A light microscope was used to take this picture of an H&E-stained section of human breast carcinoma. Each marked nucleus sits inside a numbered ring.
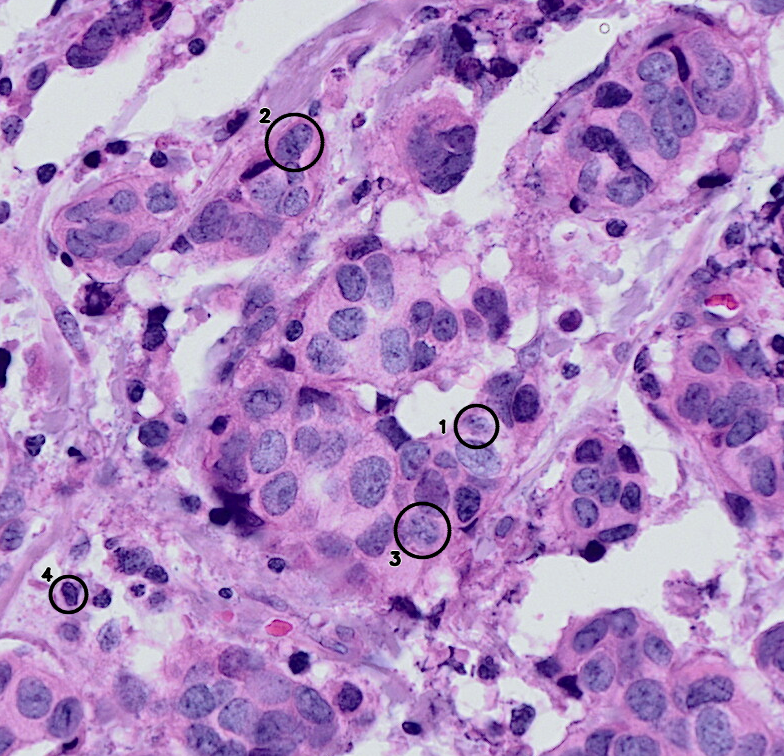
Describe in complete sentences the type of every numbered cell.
Cells 1, 2 and 3 are carcinoma cells. Cell 4 is a lymphocyte.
